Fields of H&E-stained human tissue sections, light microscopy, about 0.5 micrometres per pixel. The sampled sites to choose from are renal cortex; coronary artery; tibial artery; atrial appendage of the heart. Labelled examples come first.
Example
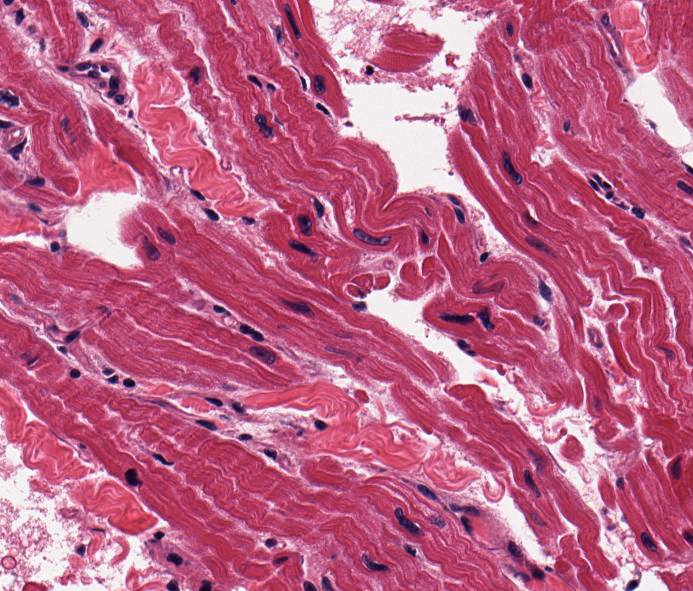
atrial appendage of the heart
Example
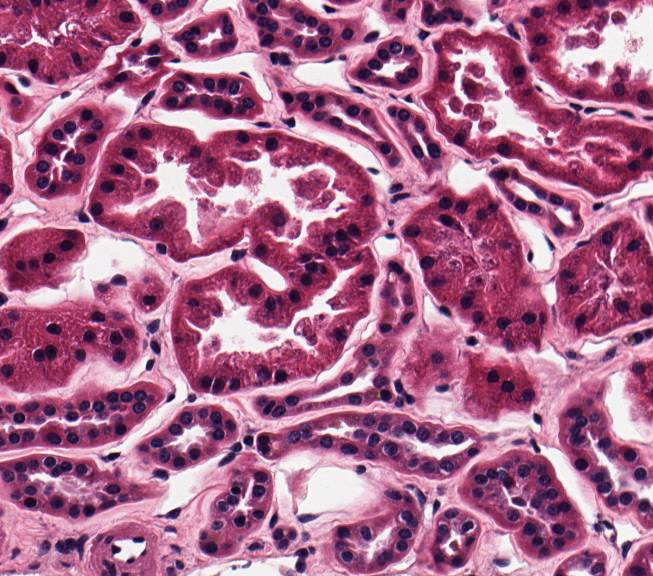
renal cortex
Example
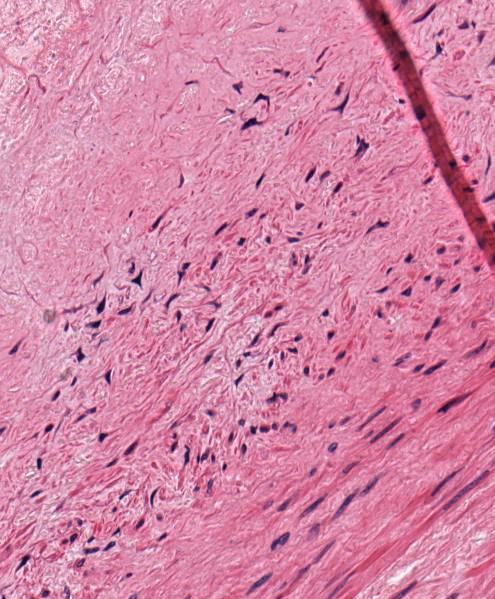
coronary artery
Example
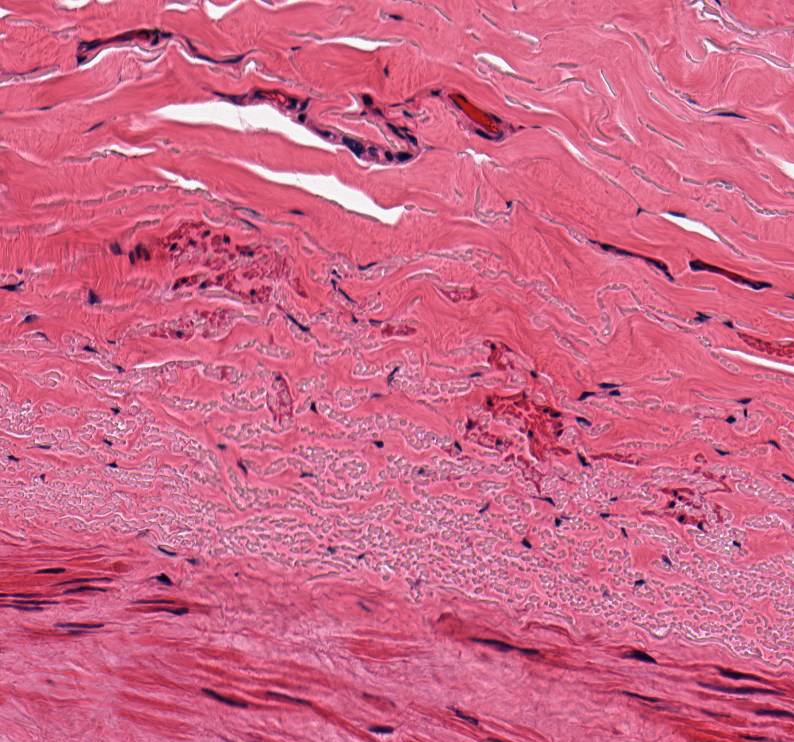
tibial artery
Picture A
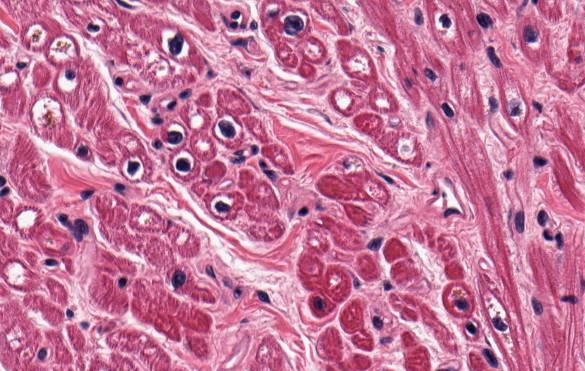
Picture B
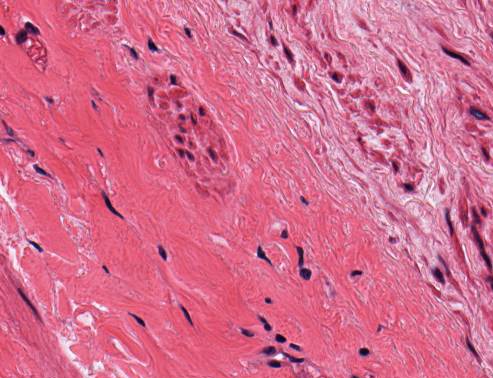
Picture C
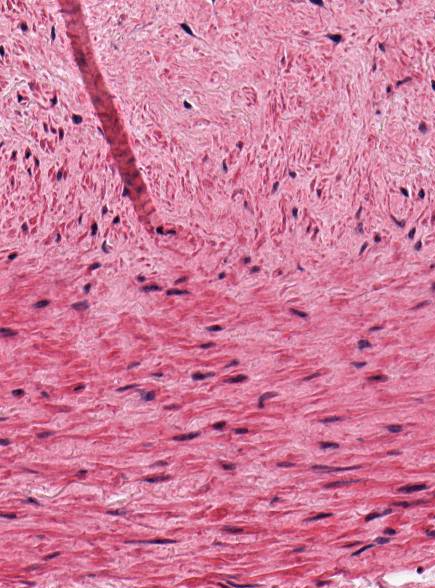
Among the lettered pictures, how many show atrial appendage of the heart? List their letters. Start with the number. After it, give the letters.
1: A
